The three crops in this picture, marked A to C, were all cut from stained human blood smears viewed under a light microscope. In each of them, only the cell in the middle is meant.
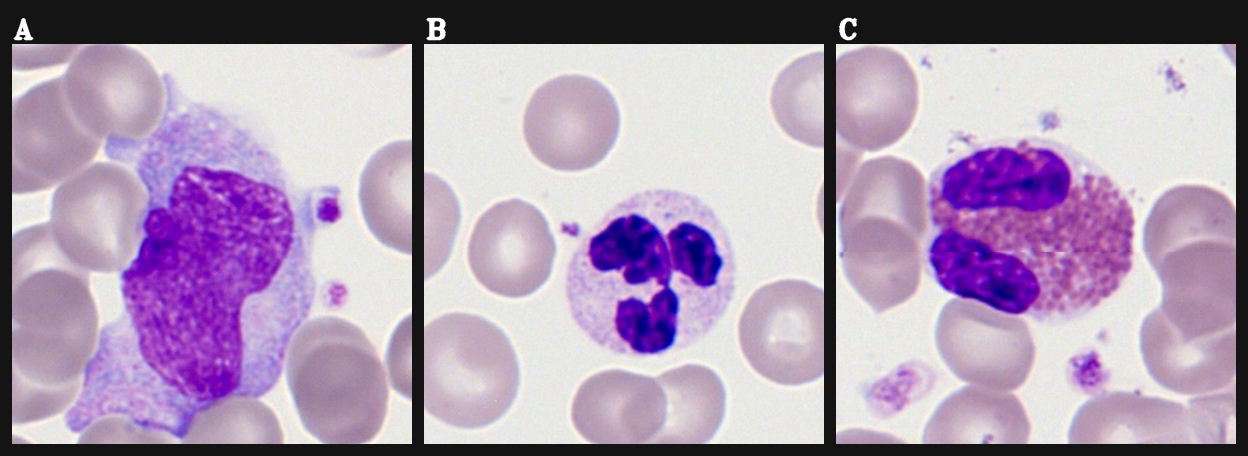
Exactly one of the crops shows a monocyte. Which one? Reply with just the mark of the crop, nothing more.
A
